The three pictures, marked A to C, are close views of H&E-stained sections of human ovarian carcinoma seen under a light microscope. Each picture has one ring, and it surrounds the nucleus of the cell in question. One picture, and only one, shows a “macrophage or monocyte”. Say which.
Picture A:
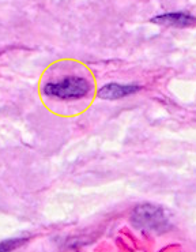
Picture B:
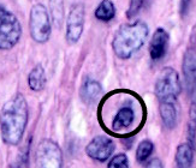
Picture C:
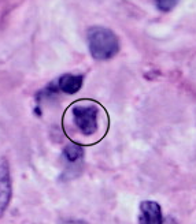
A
